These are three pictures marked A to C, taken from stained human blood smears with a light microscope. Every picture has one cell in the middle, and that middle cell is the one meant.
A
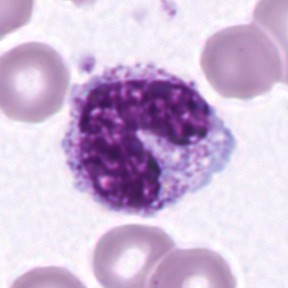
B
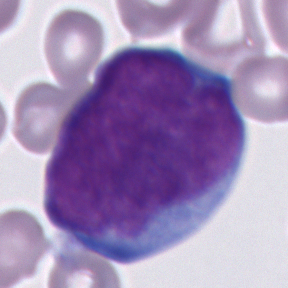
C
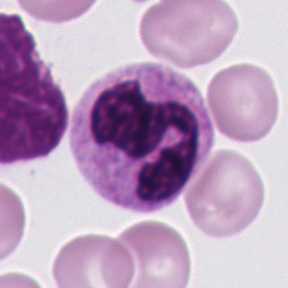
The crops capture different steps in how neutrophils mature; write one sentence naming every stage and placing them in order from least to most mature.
From the least mature to the most mature, the sequence runs crop B (a myeloblast), crop A (a band neutrophil) and crop C (a segmented neutrophil).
